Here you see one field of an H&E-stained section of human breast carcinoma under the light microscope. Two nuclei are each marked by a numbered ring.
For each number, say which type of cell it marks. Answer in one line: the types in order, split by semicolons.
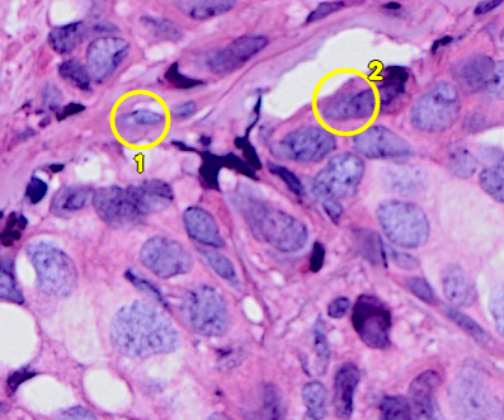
endothelial cell; carcinoma cell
